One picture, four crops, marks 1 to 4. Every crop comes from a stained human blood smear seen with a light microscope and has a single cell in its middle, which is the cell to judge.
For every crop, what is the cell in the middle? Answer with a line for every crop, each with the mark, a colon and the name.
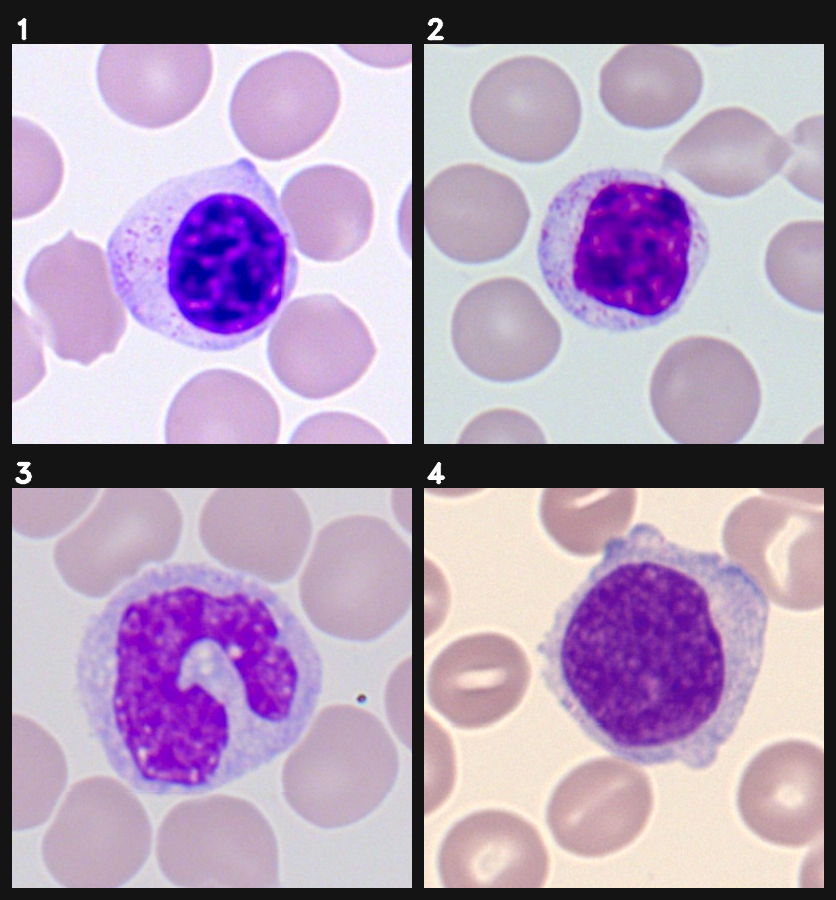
1: lymphocyte
2: lymphocyte
3: monocyte
4: myeloblast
